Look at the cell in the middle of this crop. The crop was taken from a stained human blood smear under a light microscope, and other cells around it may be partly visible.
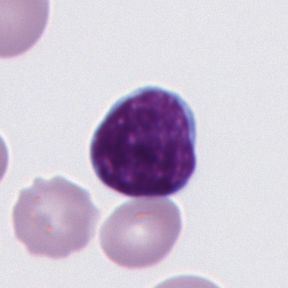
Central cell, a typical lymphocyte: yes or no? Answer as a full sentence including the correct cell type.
Yes, the central cell is to be recorded as a typical lymphocyte.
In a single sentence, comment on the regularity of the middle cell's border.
A smooth, projection-free outline is what this cell has.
